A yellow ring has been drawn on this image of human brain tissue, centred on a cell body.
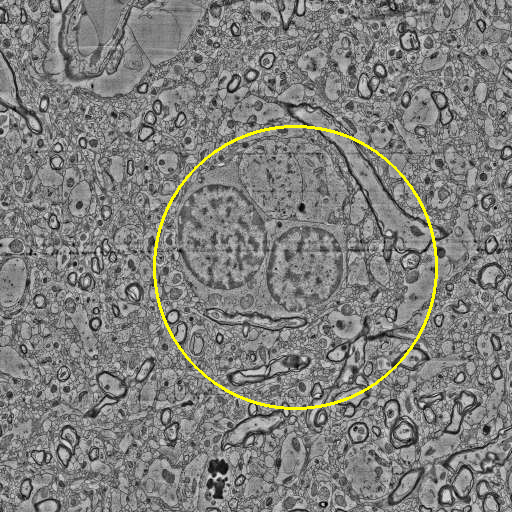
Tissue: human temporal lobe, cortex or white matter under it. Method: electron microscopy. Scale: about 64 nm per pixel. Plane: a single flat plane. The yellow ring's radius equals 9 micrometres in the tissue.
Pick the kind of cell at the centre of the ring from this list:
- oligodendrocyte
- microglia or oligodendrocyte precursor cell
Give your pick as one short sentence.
The centre of the ring holds an oligodendrocyte.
